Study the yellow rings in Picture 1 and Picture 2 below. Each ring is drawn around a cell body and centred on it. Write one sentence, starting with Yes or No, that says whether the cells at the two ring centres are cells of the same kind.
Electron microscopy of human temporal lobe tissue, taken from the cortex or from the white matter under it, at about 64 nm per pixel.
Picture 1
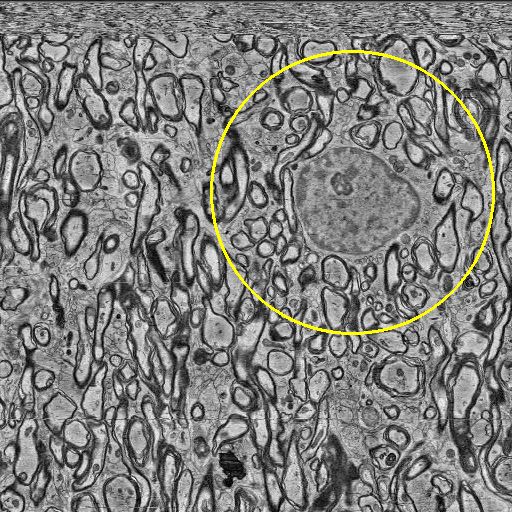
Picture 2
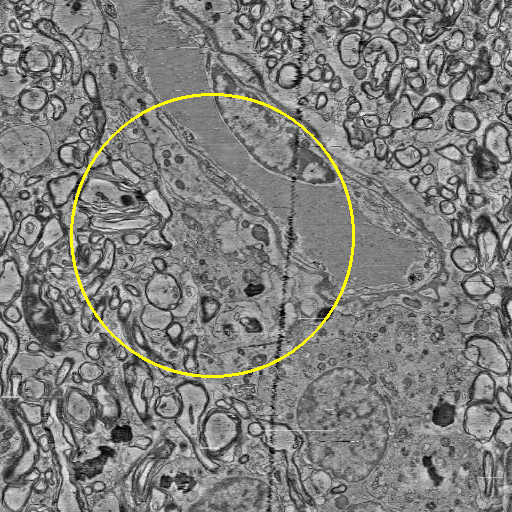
Yes, the cells at both ring centres are of the same kind.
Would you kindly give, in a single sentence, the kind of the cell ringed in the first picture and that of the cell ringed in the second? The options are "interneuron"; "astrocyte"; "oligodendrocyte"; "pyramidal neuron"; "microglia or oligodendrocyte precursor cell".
Each of the two rings surrounds an oligodendrocyte.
